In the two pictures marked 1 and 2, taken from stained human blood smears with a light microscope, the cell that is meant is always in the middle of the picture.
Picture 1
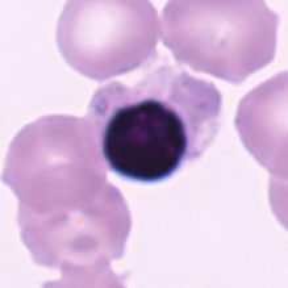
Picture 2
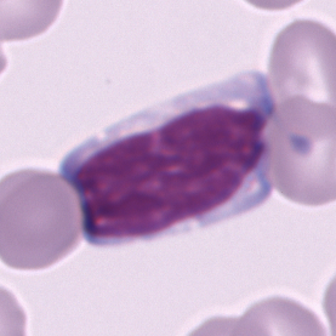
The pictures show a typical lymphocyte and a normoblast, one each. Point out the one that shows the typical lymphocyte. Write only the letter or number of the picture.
2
